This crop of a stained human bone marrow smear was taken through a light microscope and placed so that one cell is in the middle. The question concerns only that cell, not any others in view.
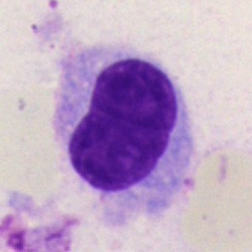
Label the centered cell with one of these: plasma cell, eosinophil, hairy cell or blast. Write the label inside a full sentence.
Centrally within this crop lies a hairy cell.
